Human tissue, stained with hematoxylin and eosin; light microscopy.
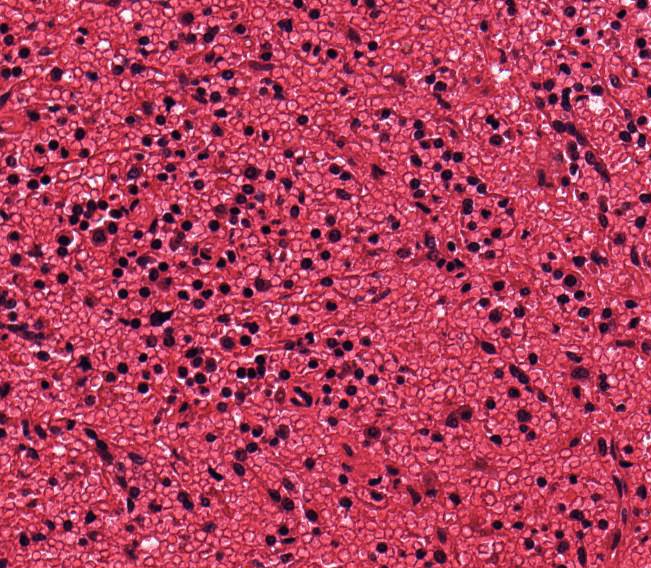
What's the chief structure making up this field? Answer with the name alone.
red pulp of the spleen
